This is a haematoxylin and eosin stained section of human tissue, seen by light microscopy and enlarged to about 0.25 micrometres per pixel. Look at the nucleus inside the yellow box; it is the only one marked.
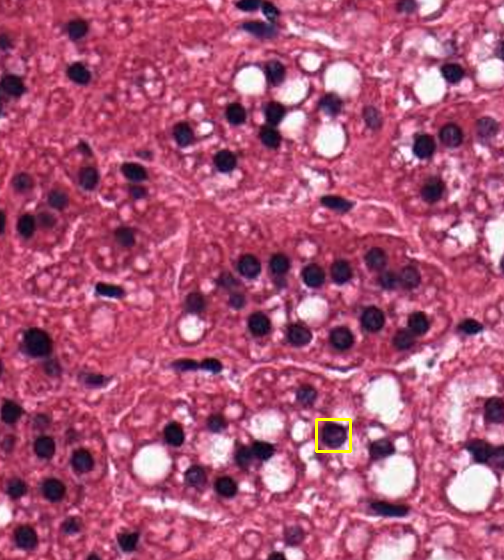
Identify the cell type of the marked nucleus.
adrenal cortical cell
